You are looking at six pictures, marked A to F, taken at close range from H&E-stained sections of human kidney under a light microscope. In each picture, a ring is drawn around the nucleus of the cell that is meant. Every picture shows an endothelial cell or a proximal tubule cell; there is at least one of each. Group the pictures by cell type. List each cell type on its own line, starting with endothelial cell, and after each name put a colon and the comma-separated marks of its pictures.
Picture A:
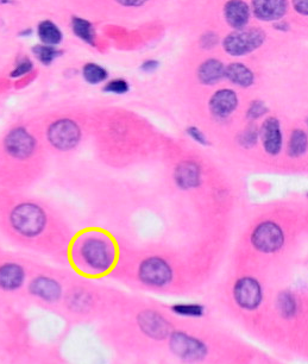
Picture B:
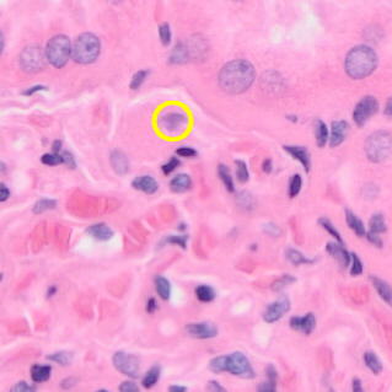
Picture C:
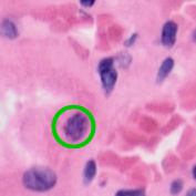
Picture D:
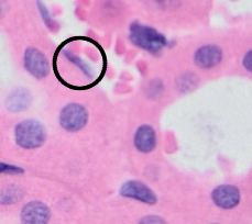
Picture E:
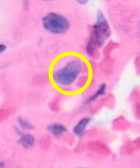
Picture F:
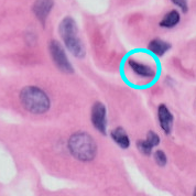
endothelial cell: B, D, E, F
proximal tubule cell: A, C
